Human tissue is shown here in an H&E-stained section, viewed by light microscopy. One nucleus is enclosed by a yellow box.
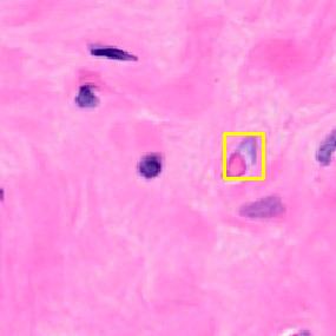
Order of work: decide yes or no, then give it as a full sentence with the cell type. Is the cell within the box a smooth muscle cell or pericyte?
No; the cell within the box should be labelled an endothelial cell rather than a smooth muscle cell or pericyte.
